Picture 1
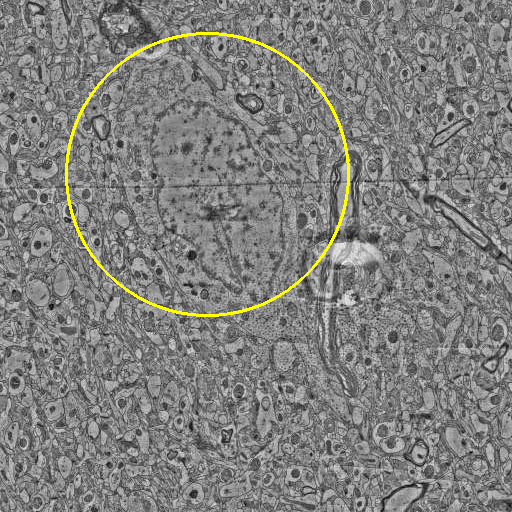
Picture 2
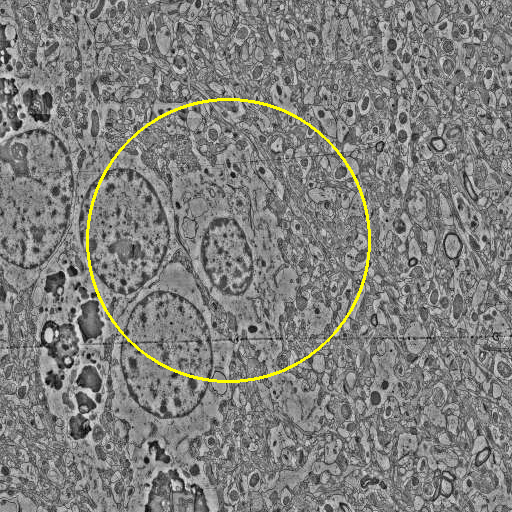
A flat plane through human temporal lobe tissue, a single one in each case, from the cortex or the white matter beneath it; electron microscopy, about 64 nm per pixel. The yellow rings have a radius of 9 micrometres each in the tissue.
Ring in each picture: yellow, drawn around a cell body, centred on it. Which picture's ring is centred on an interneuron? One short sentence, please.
Picture 1 is the one.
